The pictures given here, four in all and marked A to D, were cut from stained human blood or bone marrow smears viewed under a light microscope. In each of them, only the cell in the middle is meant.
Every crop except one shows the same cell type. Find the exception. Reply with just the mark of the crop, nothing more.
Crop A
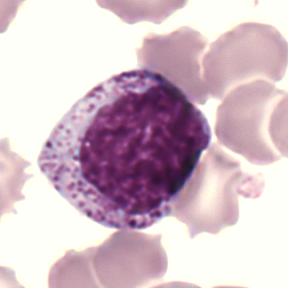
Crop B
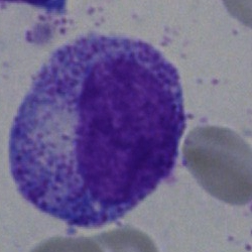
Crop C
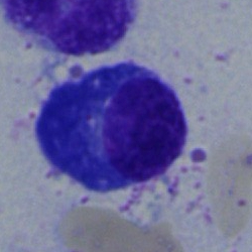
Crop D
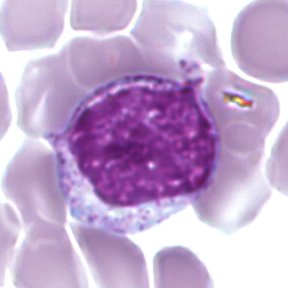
C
